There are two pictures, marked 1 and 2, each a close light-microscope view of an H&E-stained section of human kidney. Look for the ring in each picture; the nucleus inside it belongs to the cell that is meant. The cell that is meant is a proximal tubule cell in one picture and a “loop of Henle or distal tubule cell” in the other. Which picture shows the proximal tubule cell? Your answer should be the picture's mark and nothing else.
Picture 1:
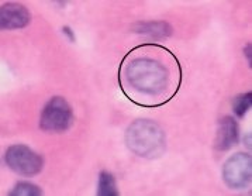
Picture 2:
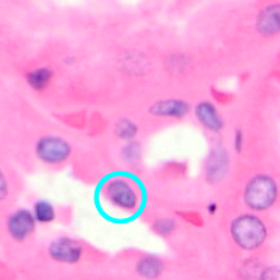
1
